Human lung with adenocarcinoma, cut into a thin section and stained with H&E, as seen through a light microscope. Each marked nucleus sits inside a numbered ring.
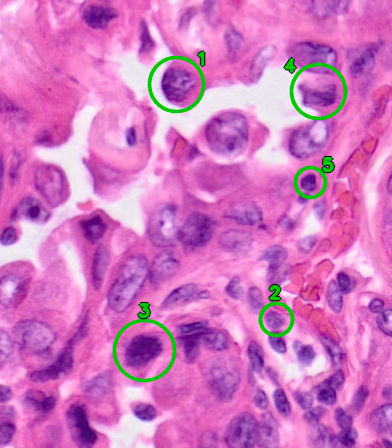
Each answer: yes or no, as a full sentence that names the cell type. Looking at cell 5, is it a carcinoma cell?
No, the correct answer for cell 5 is a lymphocyte, not a carcinoma cell.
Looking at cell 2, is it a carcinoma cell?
No, cell 2 is a lymphocyte, not a carcinoma cell.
